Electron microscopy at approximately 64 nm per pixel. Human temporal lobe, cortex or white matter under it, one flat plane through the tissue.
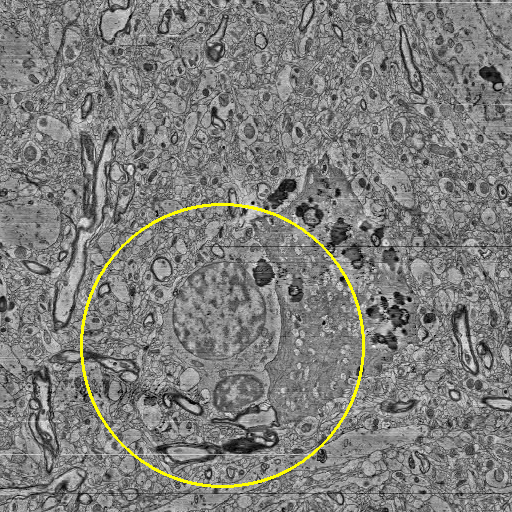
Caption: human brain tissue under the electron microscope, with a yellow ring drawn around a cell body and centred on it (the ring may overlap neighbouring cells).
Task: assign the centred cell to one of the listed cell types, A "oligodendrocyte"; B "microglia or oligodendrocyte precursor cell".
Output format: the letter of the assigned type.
A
